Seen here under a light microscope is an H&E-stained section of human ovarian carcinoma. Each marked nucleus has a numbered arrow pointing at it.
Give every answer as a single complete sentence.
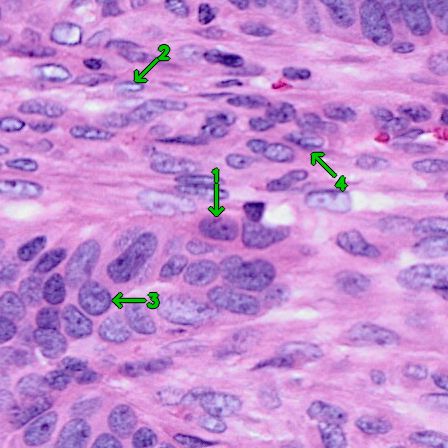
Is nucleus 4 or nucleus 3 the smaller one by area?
The smaller nucleus is 4, and 3 covers roughly 1.5 times its area.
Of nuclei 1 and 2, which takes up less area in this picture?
The smaller nucleus is 2, and 1 covers roughly 2 times its area.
